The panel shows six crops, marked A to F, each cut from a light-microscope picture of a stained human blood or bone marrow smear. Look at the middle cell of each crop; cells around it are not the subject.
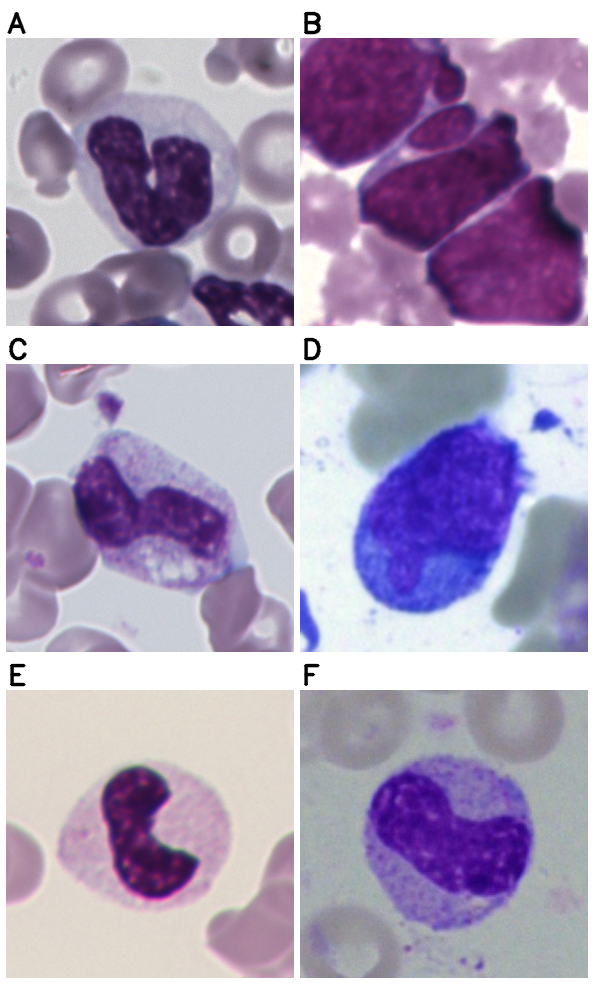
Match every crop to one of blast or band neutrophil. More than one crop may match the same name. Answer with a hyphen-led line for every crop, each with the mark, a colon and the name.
- A: band neutrophil
- B: blast
- C: band neutrophil
- D: blast
- E: band neutrophil
- F: band neutrophil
